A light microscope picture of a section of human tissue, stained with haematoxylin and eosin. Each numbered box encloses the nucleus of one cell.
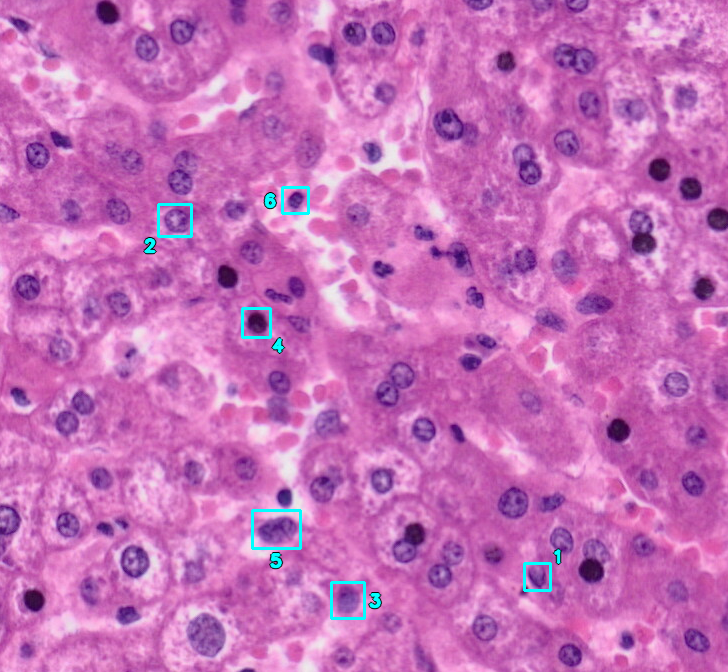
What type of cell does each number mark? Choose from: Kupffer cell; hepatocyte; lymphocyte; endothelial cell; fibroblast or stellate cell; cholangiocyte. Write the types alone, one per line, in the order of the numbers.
fibroblast or stellate cell
hepatocyte
endothelial cell
hepatocyte
Kupffer cell
lymphocyte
